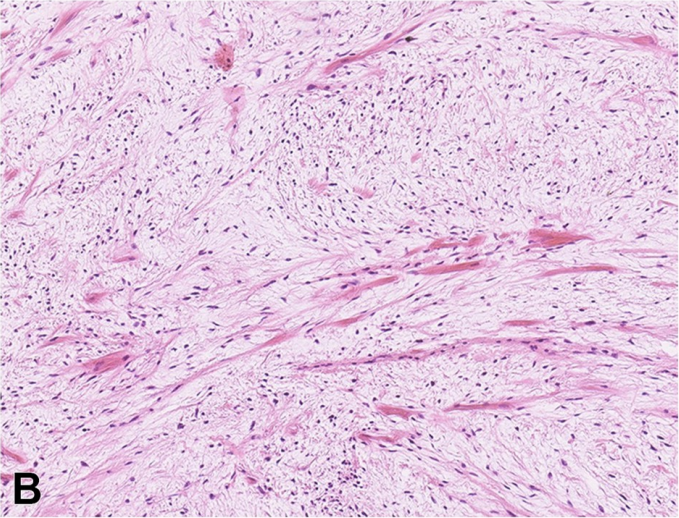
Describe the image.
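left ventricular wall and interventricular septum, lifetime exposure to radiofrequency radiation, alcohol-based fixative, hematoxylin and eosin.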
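This is a schwannoma growing within the heart muscle, made of spindle cells with thin wavy nuclei scattered in a loose, pale, faintly fibrillar stroma. Scattered bright pink cardiac muscle fibres run through the tumour, trapped between the spindle cells.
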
